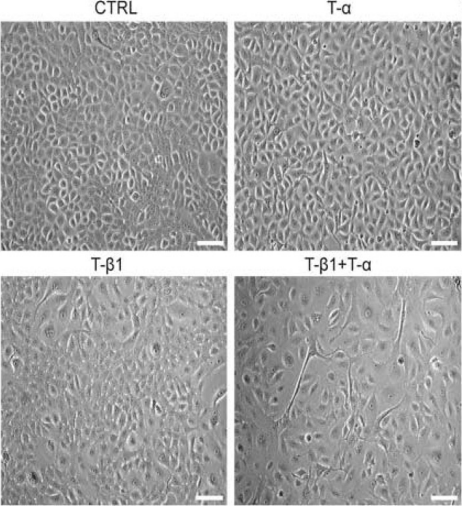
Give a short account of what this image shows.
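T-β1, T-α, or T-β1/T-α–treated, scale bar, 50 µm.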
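These are four unstained bright-field fields of a cultured cell monolayer. In the upper two fields the cells are small and polygonal, packed edge to edge in a cobblestone sheet. In the lower two fields the cells are larger and more flattened and spread. Several are drawn out into elongated, spindle-like shapes with long thin extensions, and there are more gaps between cells. This change is most marked in the lower right field.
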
